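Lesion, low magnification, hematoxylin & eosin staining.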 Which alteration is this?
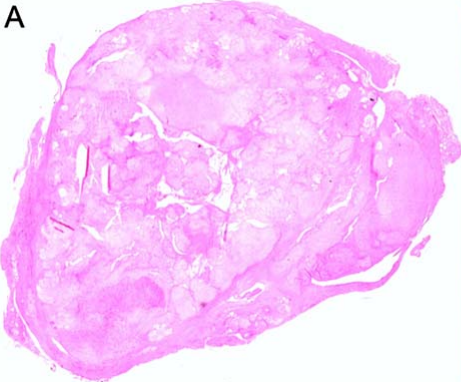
Relatively well-circumscribed multinodular tumor.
